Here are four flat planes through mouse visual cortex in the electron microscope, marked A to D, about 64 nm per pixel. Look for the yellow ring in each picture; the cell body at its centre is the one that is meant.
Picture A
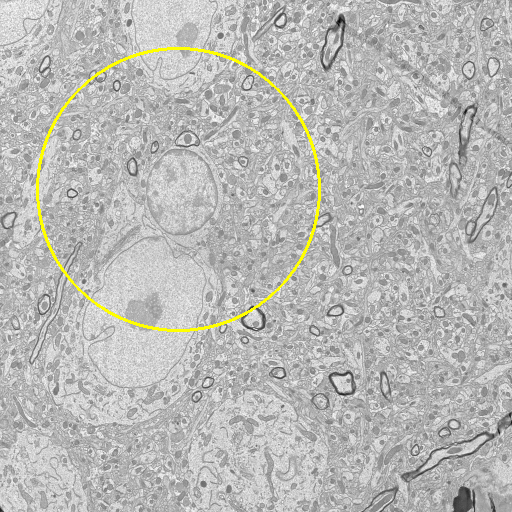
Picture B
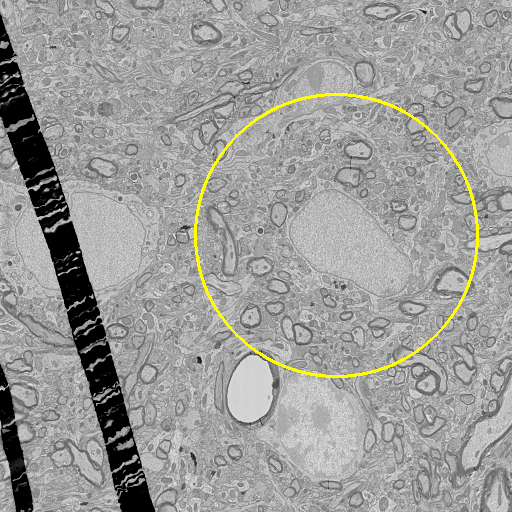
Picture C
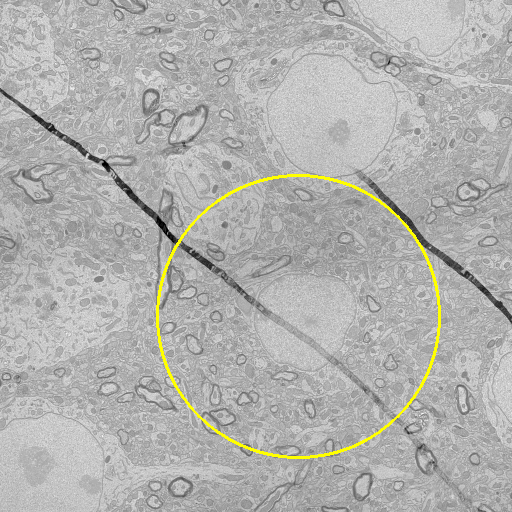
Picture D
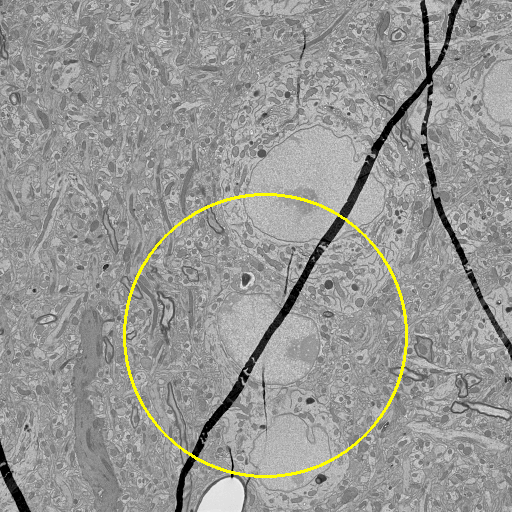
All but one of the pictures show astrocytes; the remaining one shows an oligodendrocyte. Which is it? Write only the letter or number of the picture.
A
